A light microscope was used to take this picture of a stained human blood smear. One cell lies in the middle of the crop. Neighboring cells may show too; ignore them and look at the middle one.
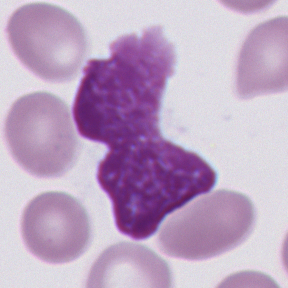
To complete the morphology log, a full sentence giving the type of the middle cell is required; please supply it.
Centrally within this crop lies a smudge cell.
